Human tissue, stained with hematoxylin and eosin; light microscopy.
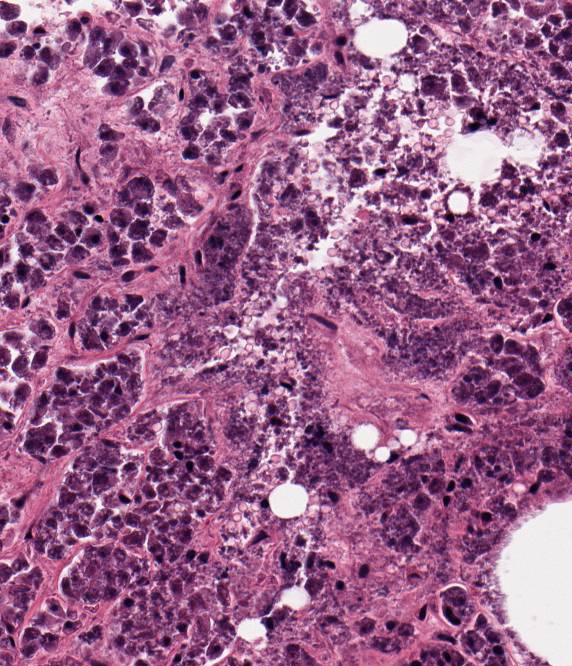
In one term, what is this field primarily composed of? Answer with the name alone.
exocrine pancreas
